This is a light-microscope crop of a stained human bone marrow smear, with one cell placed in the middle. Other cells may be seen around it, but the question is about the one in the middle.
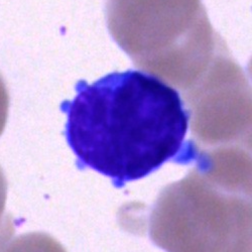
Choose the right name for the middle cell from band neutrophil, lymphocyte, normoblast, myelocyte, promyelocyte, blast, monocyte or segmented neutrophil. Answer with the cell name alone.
lymphocyte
